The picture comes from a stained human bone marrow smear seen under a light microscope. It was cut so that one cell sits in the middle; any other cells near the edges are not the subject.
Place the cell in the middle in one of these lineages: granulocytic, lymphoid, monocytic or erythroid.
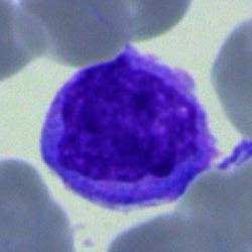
monocytic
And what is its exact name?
monocyte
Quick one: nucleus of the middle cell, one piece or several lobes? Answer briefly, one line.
Worth pointing out that its nucleus is one compact mass, round, oval or reniform.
